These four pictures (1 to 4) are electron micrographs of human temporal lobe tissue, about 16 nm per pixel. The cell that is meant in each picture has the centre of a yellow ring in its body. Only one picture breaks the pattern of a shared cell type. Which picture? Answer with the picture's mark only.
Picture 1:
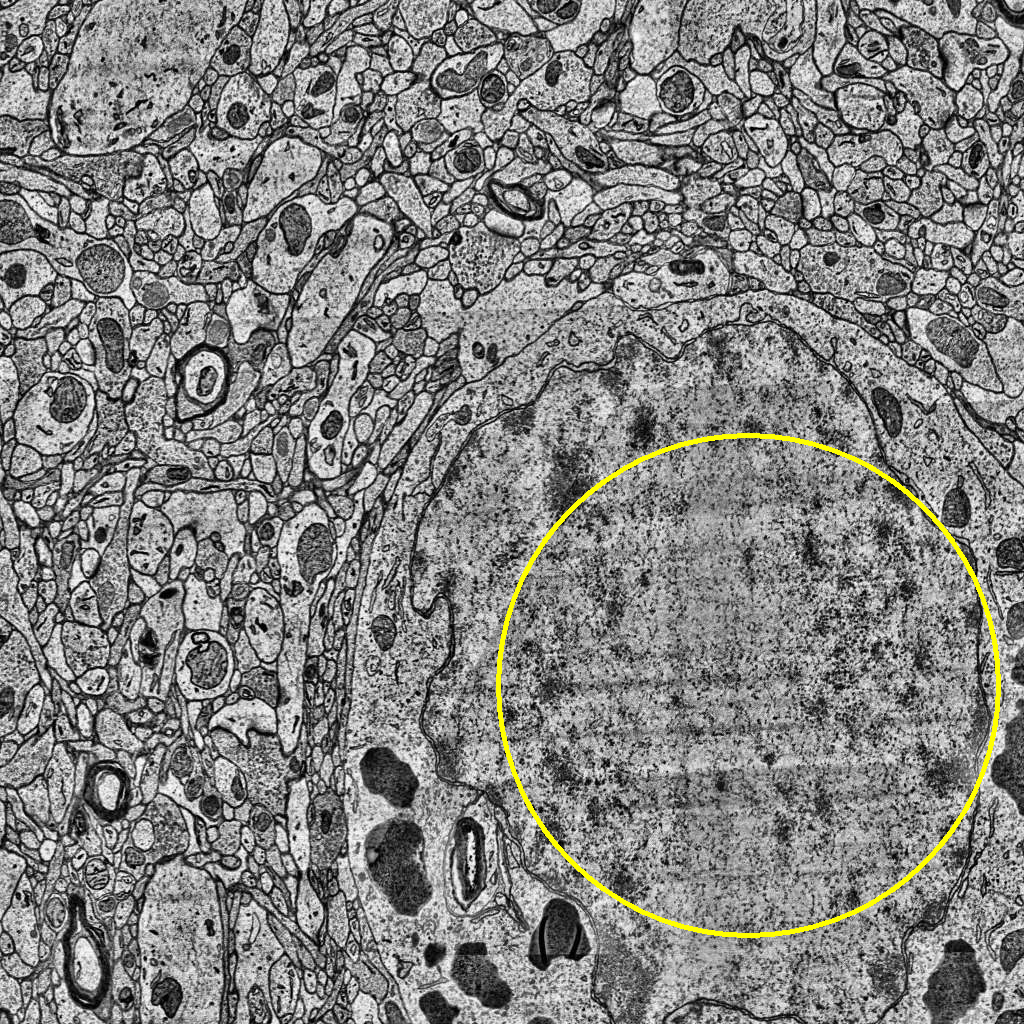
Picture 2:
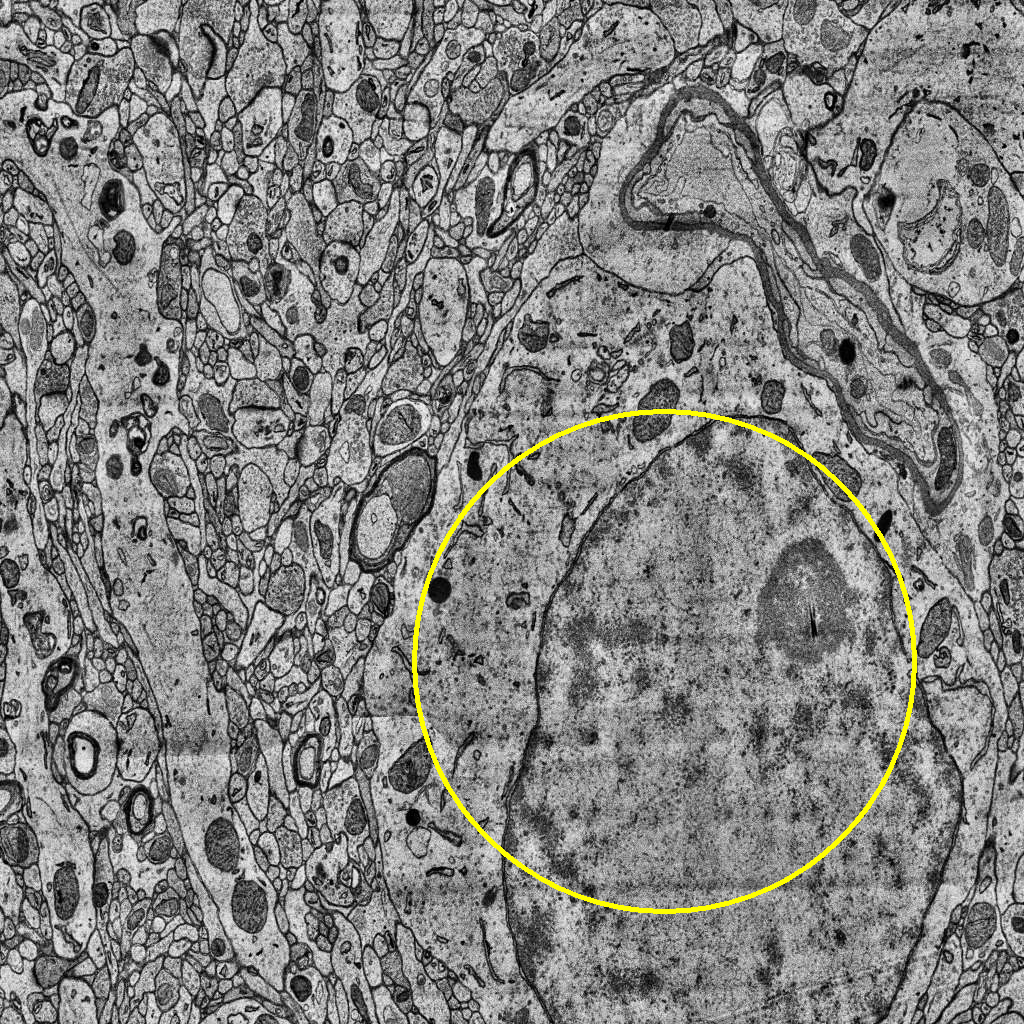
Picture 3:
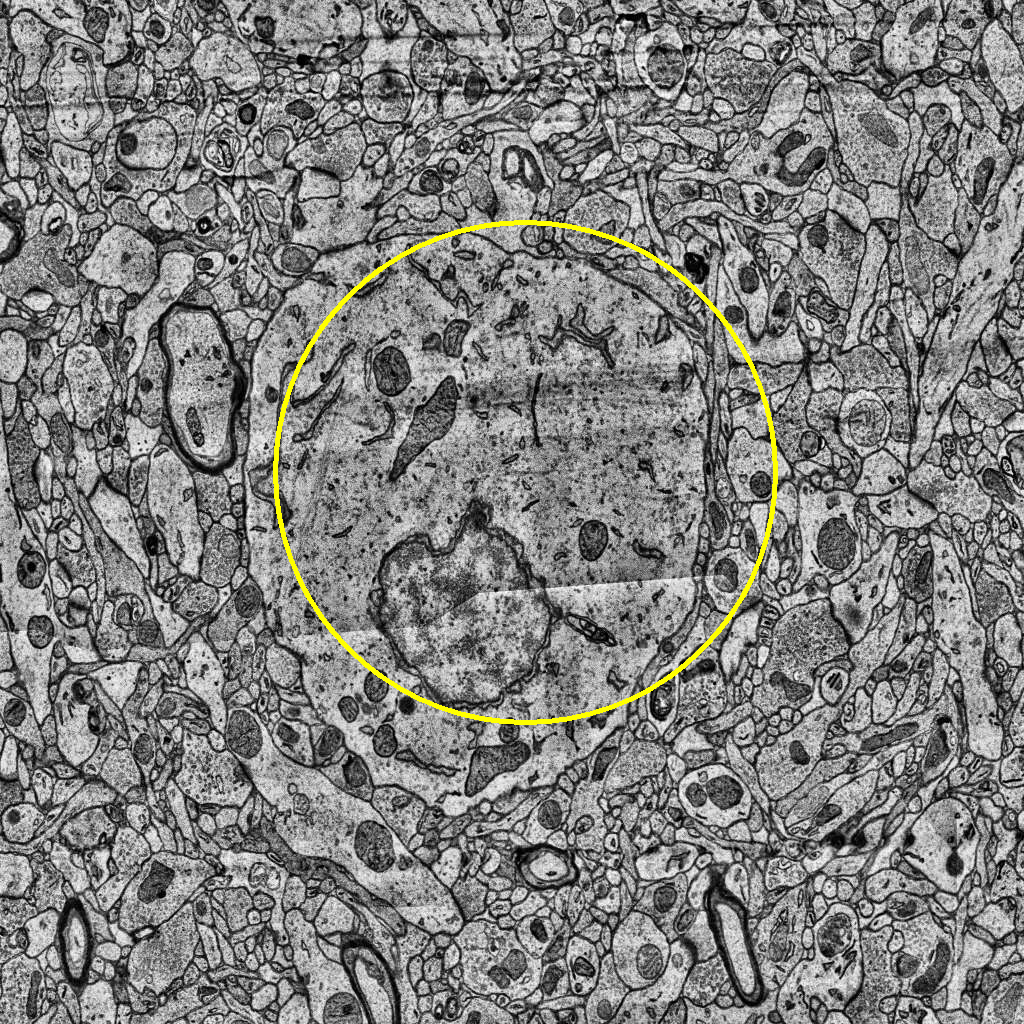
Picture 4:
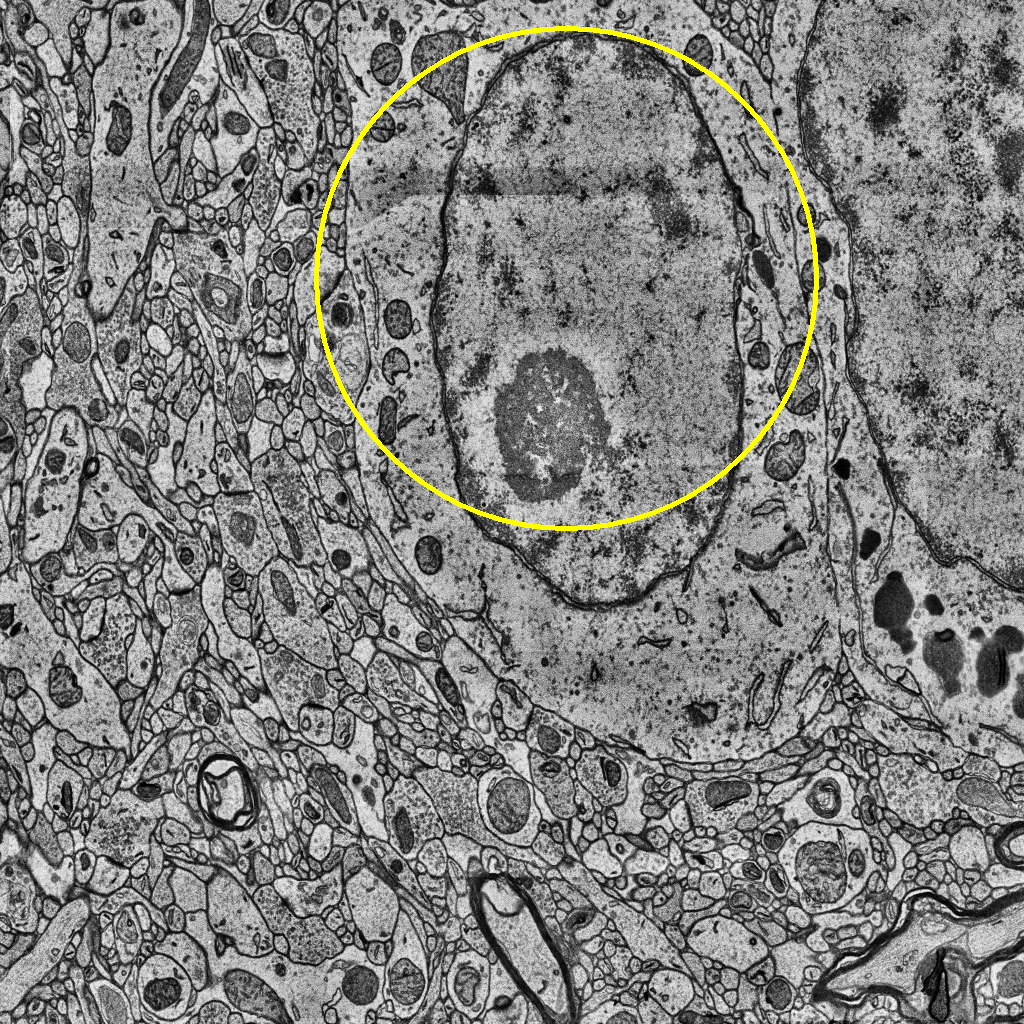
1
